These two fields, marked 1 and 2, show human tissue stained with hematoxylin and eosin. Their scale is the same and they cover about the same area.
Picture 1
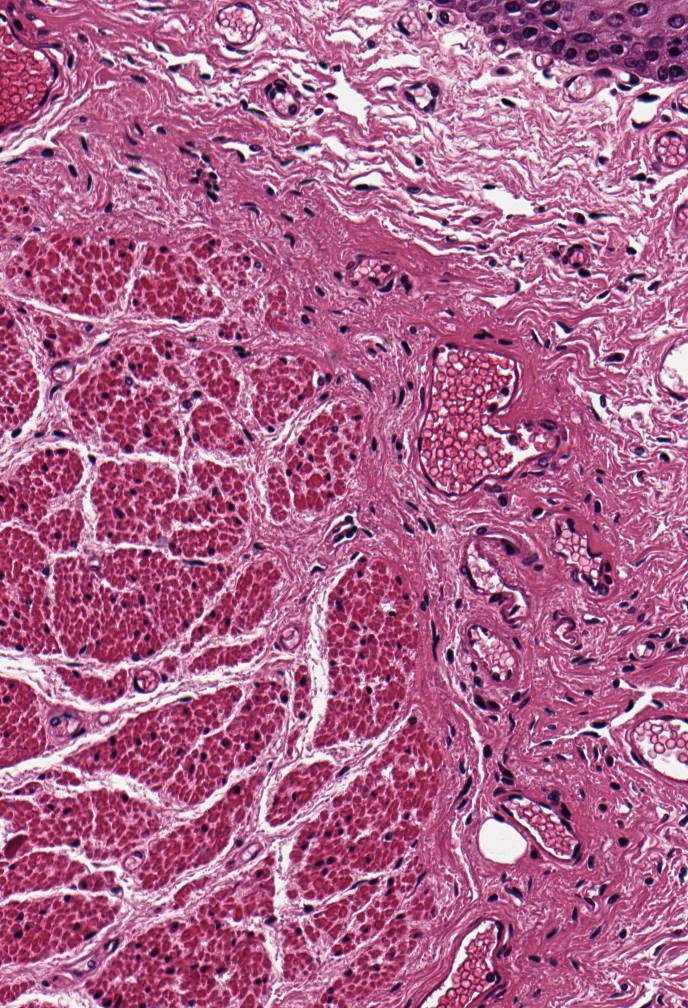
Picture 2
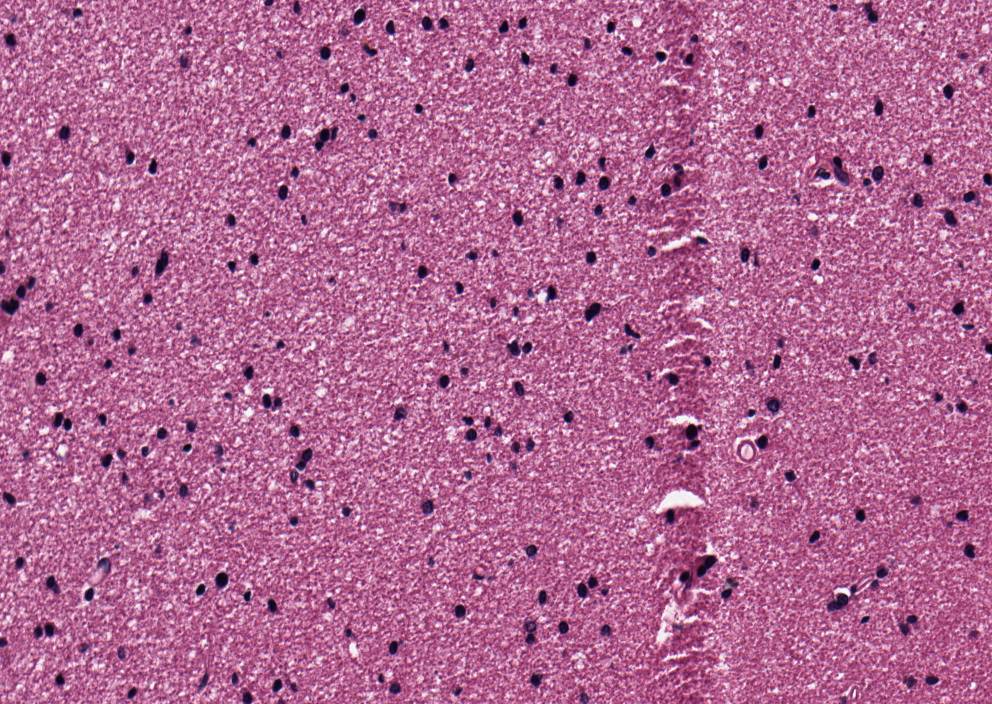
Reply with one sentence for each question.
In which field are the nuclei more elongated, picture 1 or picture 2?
It is picture 1 whose nuclei are the more elongated.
